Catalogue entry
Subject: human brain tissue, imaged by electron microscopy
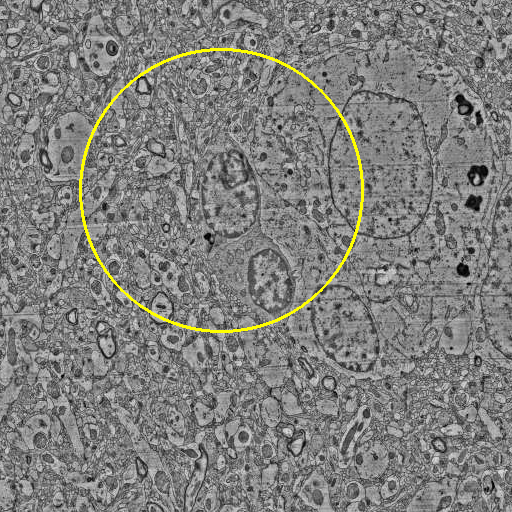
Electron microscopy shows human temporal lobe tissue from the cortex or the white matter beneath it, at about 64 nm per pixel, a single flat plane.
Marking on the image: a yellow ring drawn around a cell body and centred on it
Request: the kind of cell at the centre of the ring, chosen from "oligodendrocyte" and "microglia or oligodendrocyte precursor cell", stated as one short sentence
The ring has an oligodendrocyte at its centre.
